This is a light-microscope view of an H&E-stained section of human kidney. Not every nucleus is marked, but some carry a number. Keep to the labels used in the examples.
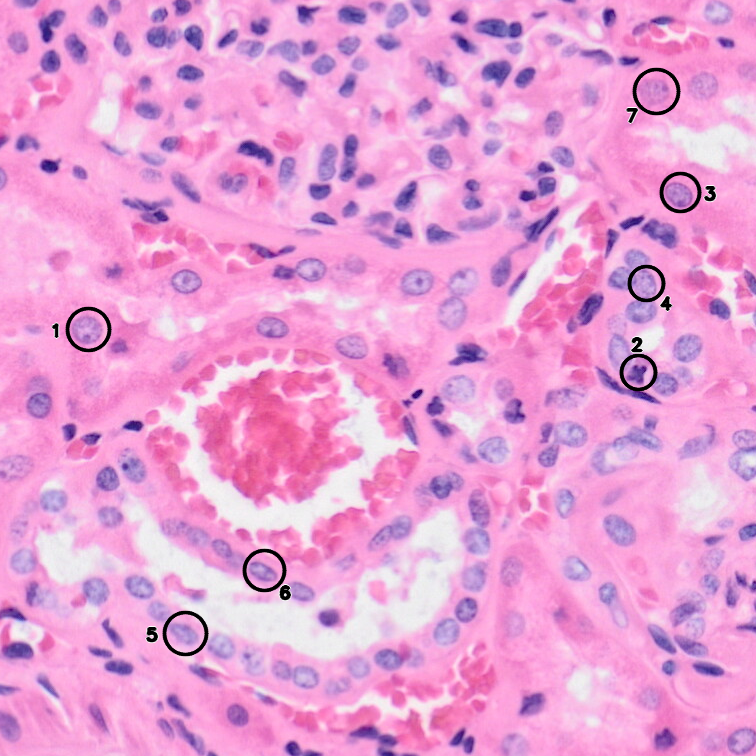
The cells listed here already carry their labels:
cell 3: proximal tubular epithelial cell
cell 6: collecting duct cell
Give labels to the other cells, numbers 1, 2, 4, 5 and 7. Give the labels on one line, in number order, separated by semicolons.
proximal tubular epithelial cell; collecting duct cell; collecting duct cell; collecting duct cell; proximal tubular epithelial cell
